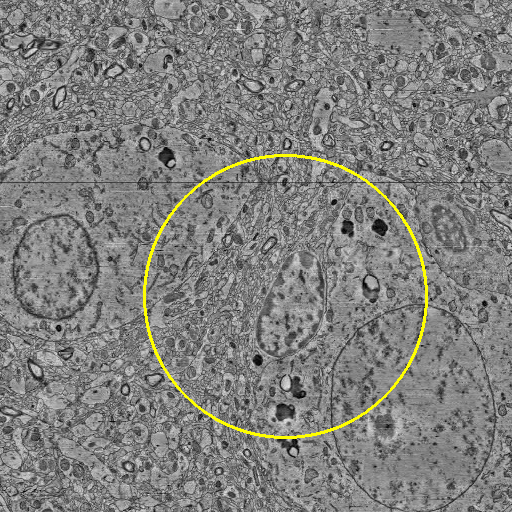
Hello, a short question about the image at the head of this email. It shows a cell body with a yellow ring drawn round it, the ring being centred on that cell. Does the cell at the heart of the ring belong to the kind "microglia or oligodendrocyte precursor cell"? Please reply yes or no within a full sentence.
Yes, the cell at the heart of the ring in that image is of that kind.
